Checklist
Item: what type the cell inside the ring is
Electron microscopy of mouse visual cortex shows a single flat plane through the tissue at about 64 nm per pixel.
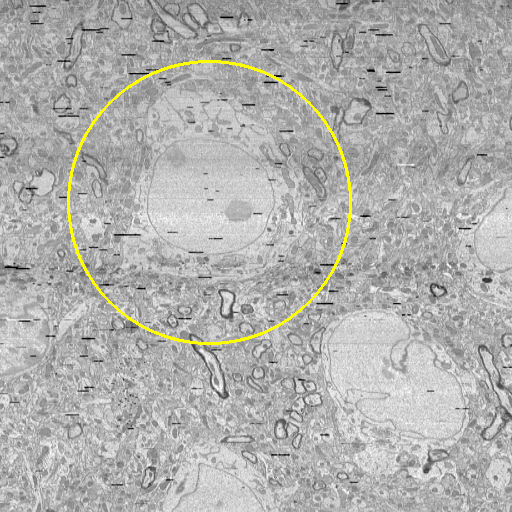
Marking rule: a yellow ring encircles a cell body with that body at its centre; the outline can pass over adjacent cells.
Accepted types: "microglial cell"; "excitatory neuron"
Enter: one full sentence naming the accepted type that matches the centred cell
The entry is that an excitatory neuron lies at the centre of the yellow ring.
